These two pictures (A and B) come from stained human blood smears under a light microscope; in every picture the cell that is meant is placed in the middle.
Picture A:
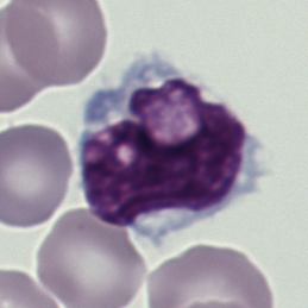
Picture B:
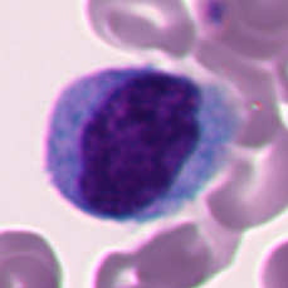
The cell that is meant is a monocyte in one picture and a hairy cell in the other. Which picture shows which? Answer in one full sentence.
Picture A shows a hairy cell and picture B shows a monocyte.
